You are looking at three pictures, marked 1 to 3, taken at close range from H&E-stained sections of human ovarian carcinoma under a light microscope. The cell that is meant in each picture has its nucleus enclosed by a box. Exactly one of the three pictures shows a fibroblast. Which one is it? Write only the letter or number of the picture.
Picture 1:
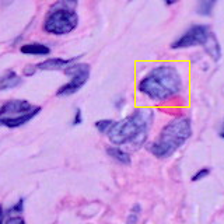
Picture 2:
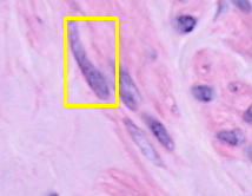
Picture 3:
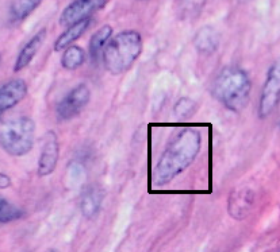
3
